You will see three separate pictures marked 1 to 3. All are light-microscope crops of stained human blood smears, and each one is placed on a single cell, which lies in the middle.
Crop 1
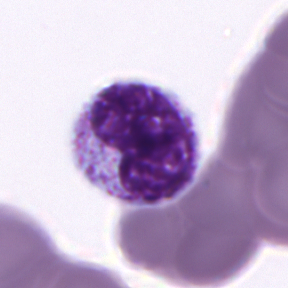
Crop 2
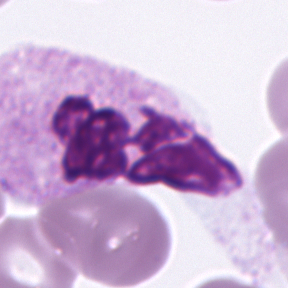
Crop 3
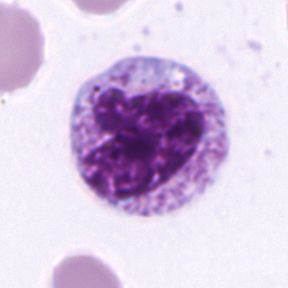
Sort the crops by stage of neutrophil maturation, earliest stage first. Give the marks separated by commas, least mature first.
1, 3, 2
